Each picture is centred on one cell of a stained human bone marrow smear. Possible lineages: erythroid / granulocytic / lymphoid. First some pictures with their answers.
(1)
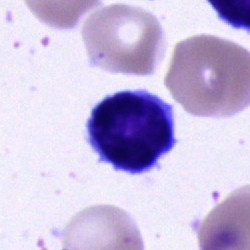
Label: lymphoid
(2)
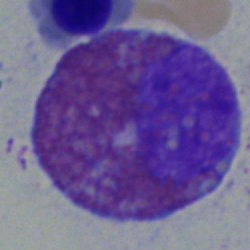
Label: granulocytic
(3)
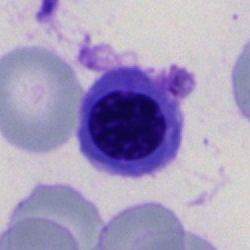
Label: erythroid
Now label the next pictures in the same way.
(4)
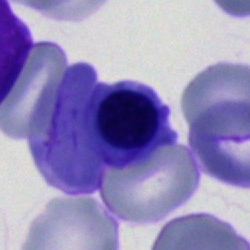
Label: erythroid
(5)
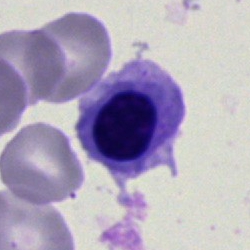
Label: erythroid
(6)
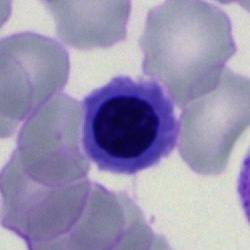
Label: erythroid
